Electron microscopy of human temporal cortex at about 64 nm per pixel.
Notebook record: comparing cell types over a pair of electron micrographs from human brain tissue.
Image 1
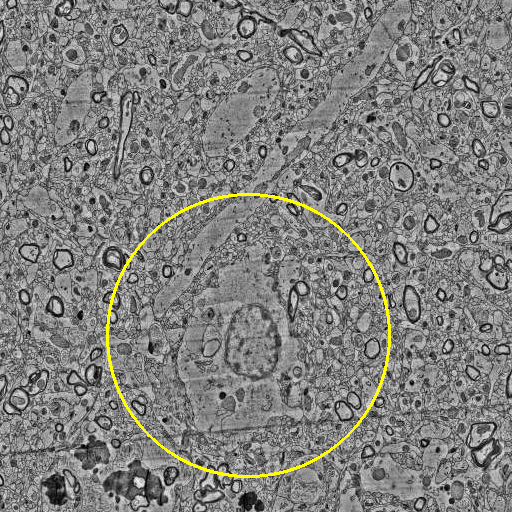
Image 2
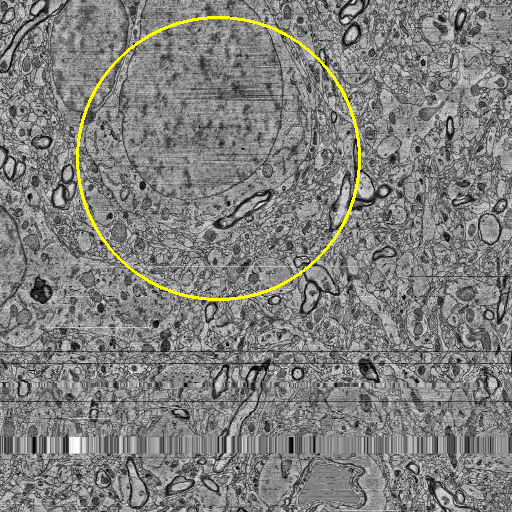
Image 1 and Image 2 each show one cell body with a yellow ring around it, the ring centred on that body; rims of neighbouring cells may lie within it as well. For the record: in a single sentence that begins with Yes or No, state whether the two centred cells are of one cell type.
No, two cell types are found among the centred cells of Image 1 and Image 2.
